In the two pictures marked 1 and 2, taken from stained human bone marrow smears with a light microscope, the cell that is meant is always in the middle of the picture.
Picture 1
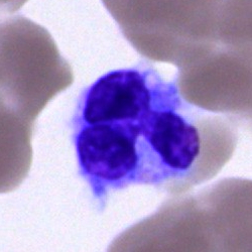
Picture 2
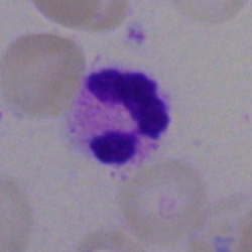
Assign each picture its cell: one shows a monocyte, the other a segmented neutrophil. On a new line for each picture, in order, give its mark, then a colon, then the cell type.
1: monocyte
2: segmented neutrophil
